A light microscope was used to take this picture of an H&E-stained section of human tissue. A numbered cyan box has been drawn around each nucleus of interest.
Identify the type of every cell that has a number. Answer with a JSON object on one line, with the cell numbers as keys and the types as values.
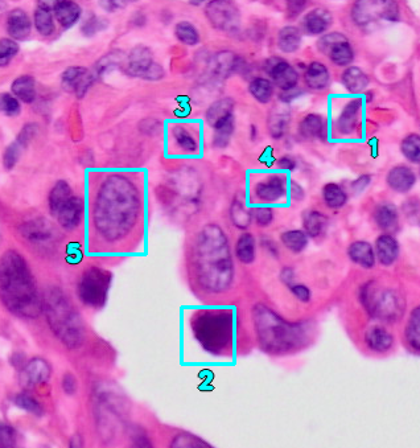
{"1": "lymphocyte", "2": "carcinoma cell", "3": "lymphocyte", "4": "lymphocyte", "5": "carcinoma cell"}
